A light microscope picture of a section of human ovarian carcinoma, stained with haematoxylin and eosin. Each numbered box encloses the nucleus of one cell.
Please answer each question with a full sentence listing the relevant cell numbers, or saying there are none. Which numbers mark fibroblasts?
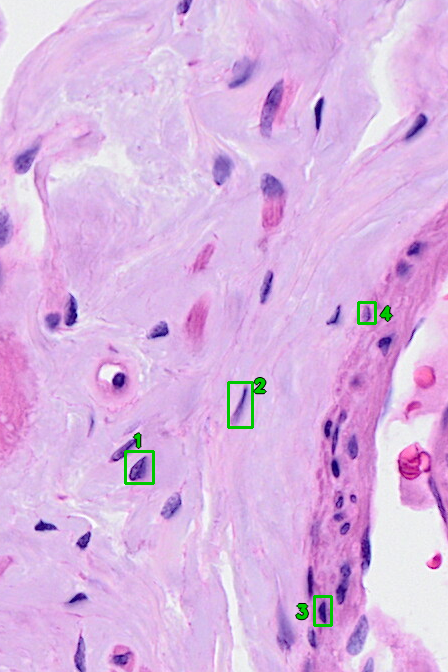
To be specific, the cells numbered 1 and 2 are fibroblasts.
